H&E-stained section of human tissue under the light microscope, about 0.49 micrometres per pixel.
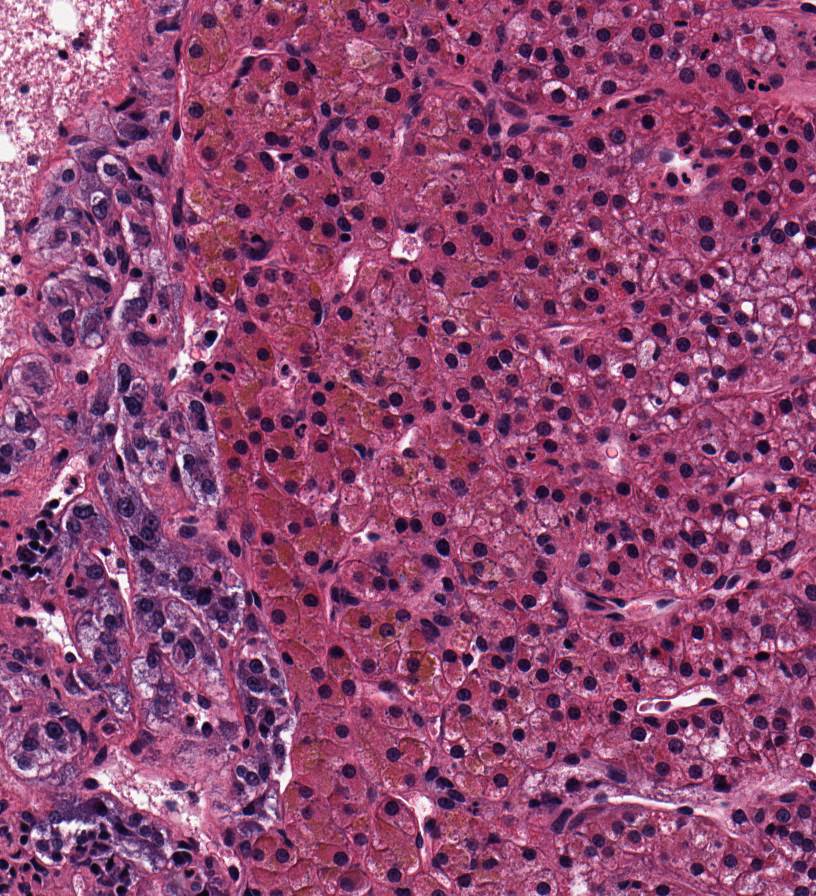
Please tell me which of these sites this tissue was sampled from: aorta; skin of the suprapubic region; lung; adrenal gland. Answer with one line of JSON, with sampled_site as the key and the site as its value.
{"sampled_site": "adrenal gland"}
